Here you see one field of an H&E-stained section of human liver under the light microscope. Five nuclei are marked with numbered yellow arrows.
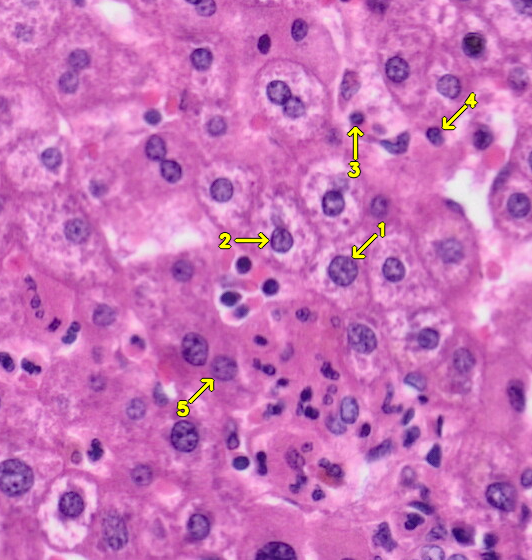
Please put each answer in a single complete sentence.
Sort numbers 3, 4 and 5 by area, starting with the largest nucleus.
The nuclei rank 5, 4, 3, from largest to smallest.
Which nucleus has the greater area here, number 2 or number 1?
Number 1 is larger; its area is about 1.5 times that of number 2.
